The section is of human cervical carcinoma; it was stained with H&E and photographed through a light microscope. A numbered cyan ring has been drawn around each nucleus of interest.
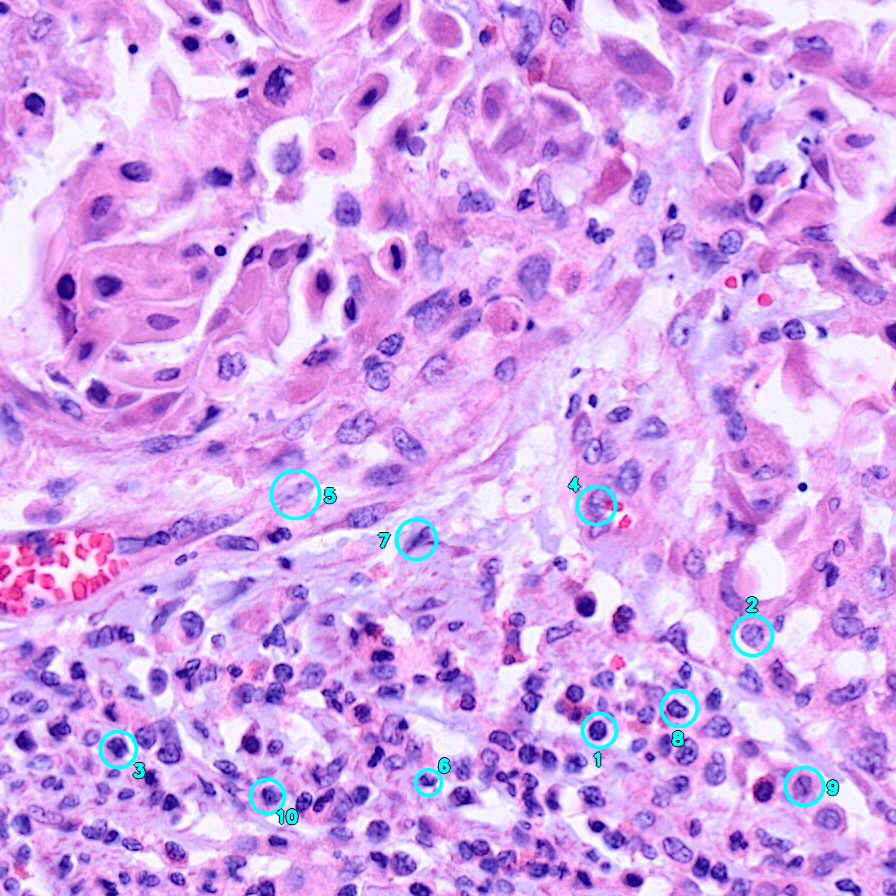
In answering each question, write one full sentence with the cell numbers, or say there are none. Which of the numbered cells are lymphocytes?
The cells marked 1, 3, 6, 8 and 10 in the section are lymphocytes.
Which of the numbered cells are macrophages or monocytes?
Cells 2 and 9 share one type; they are macrophages or monocytes.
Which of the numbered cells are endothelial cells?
Only the cell with number 4 is an endothelial cell.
